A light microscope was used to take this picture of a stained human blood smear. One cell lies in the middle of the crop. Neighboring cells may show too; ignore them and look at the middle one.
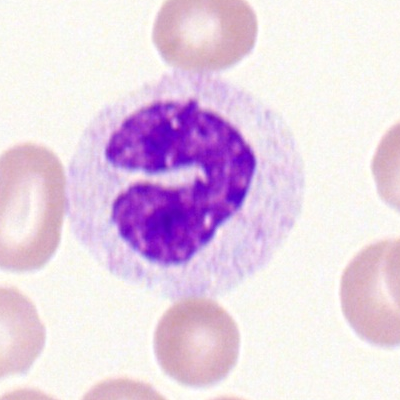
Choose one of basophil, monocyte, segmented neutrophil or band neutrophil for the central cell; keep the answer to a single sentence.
To answer, the cell in the center of the crop is a band neutrophil.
